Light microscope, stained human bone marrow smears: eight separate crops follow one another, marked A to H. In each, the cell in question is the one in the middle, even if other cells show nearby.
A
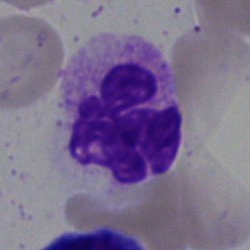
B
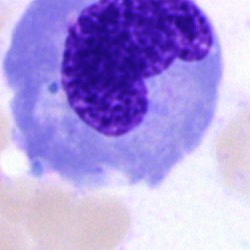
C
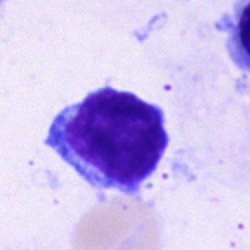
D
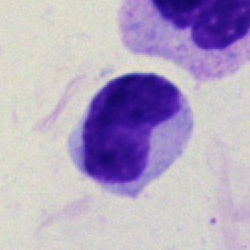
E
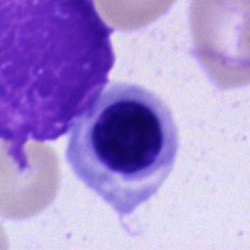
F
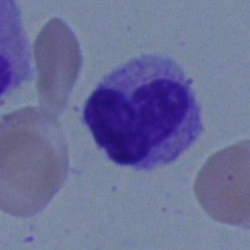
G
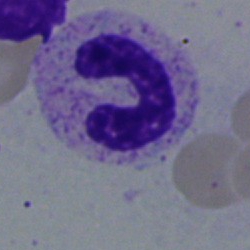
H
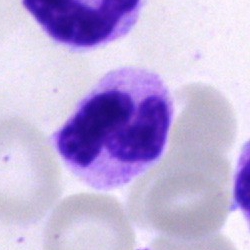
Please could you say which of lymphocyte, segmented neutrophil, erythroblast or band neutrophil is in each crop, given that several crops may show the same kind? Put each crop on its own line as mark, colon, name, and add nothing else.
A: segmented neutrophil
B: erythroblast
C: lymphocyte
D: lymphocyte
E: erythroblast
F: band neutrophil
G: band neutrophil
H: segmented neutrophil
